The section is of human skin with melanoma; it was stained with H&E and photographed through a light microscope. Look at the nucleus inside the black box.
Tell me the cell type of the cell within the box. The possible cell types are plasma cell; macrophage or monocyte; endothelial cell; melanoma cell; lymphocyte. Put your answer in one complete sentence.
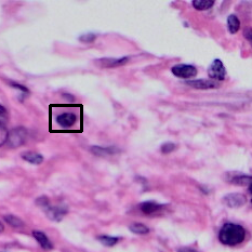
Placed in its cell category, the cell within the box is a plasma cell.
